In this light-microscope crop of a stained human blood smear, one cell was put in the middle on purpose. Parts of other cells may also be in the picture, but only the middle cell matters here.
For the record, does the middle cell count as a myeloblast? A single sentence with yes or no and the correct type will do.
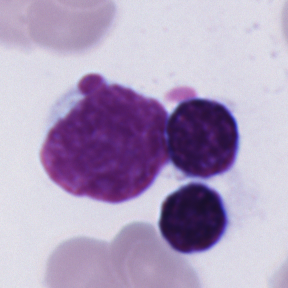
Yes, the cell in the centre is a myeloblast.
